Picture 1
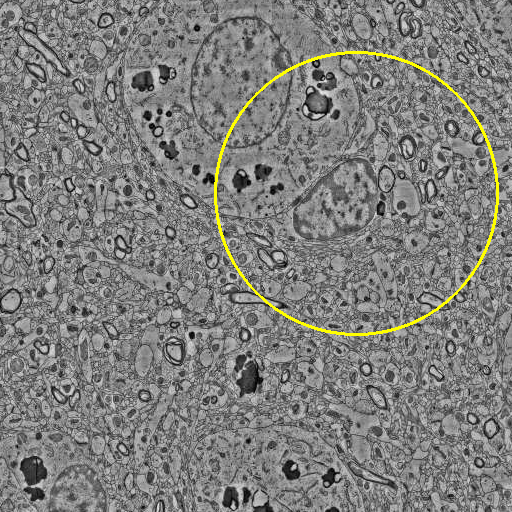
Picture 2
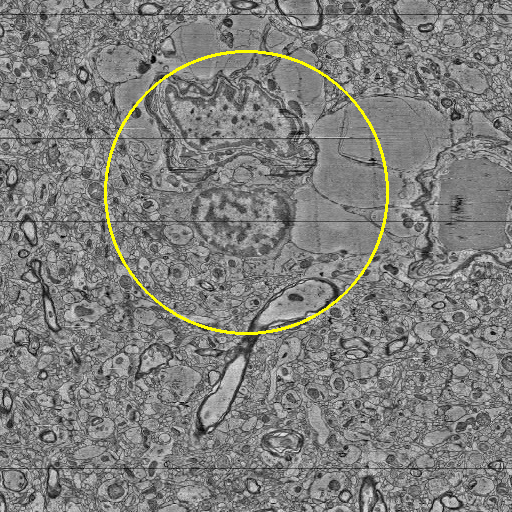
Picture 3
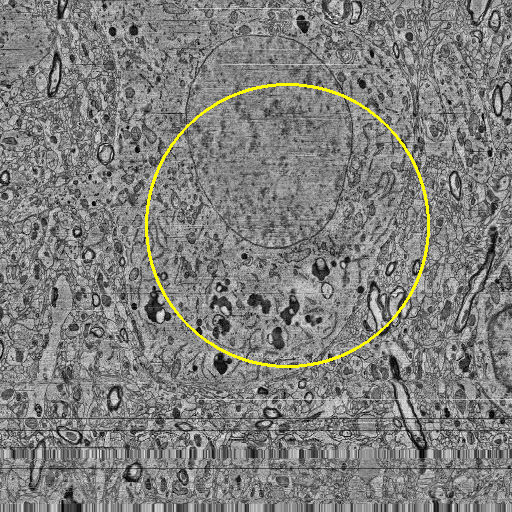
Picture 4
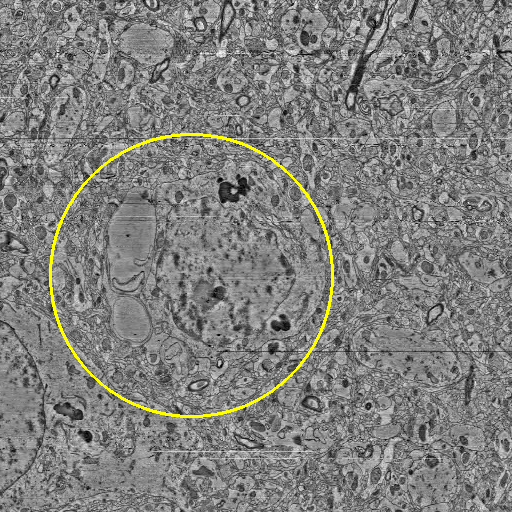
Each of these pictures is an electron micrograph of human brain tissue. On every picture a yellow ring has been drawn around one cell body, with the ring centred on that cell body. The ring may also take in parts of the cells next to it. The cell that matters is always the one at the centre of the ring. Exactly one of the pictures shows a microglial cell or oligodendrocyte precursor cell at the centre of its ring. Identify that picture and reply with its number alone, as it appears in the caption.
1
